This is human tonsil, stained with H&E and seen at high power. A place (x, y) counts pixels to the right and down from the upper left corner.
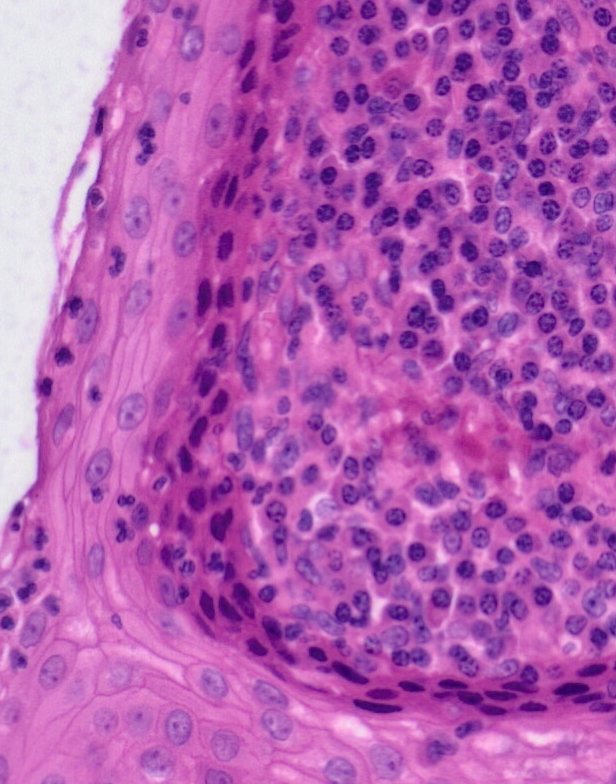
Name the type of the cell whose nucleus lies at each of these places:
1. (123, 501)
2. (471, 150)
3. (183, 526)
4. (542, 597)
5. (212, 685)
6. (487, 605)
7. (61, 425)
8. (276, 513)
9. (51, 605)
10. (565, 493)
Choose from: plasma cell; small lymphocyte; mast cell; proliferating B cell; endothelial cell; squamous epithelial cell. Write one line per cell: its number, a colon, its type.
1: squamous epithelial cell
2: plasma cell
3: squamous epithelial cell
4: plasma cell
5: squamous epithelial cell
6: plasma cell
7: squamous epithelial cell
8: plasma cell
9: squamous epithelial cell
10: plasma cell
